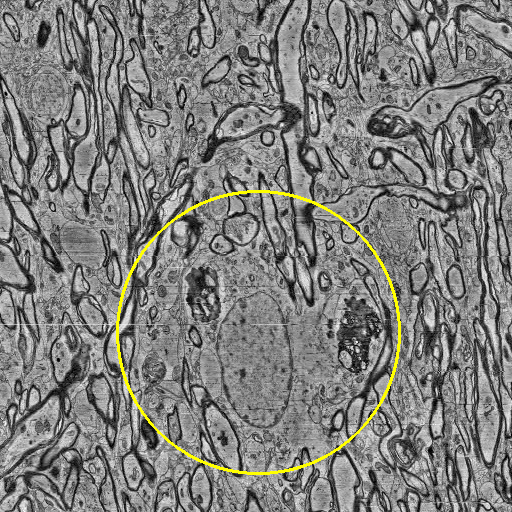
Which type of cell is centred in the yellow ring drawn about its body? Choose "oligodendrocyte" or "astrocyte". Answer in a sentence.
The yellow ring surrounds the cell body of an astrocyte.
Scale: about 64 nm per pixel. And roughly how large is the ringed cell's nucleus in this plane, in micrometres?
In this plane the nucleus measures about 9 by 5 micrometres and is clearly longer than it is wide.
